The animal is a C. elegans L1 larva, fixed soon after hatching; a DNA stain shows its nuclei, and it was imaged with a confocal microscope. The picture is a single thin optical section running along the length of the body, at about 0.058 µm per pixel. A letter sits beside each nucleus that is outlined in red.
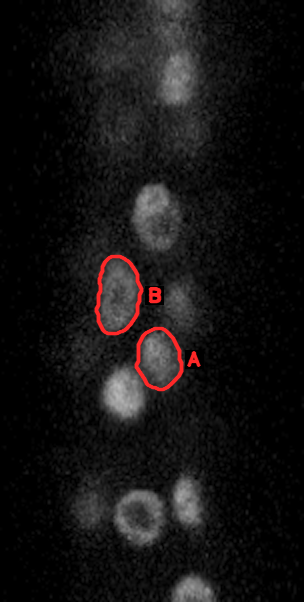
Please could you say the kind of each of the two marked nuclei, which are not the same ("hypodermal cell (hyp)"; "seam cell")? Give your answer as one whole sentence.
One is from a seam cell, namely A, and the other, B, is from a hypodermal cell (hyp).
